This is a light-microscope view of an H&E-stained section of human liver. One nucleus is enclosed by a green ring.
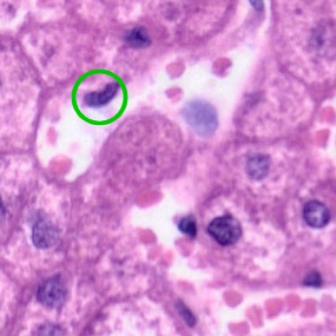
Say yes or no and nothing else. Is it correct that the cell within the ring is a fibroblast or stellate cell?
no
